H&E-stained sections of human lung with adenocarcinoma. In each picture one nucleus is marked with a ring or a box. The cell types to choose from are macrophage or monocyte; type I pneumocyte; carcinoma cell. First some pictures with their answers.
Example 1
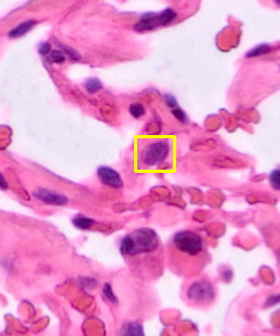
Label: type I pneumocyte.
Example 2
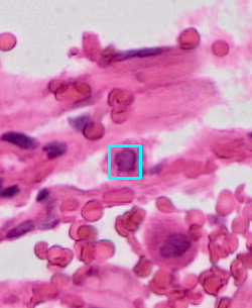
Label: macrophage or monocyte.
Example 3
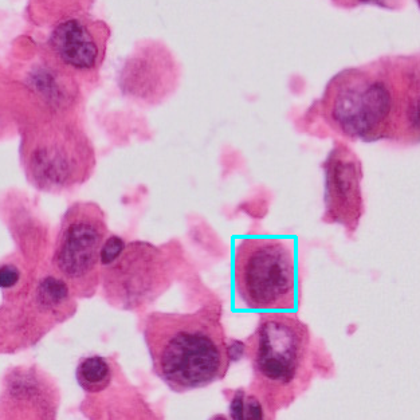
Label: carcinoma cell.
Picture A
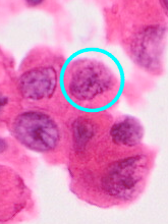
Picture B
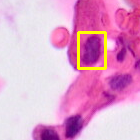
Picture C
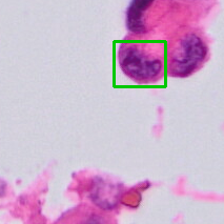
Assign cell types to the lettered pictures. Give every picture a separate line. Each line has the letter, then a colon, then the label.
A: carcinoma cell.
B: macrophage or monocyte.
C: carcinoma cell.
